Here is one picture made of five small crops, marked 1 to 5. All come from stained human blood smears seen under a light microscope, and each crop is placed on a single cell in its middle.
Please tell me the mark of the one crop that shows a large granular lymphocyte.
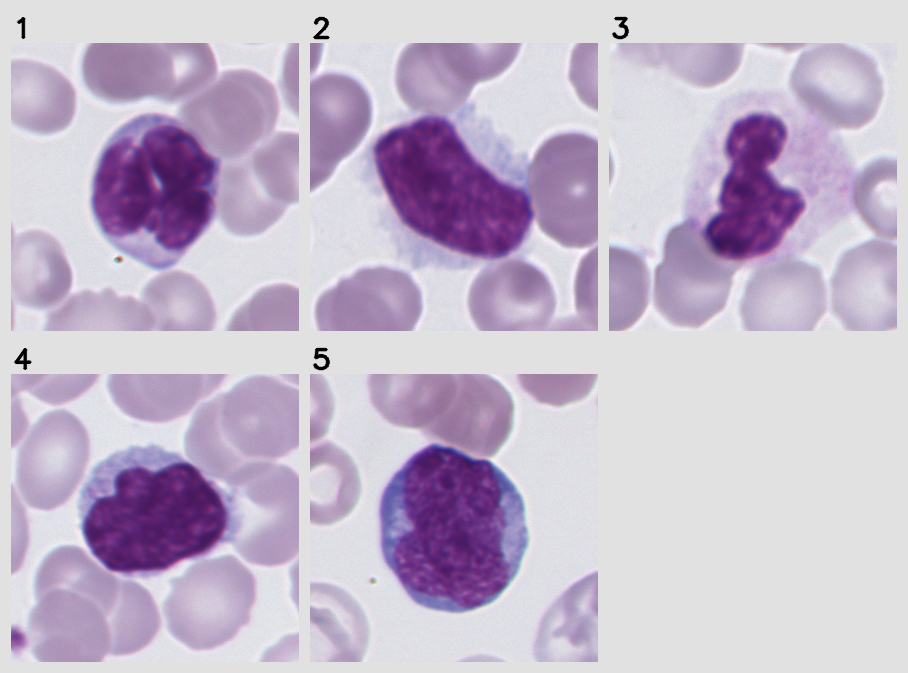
1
